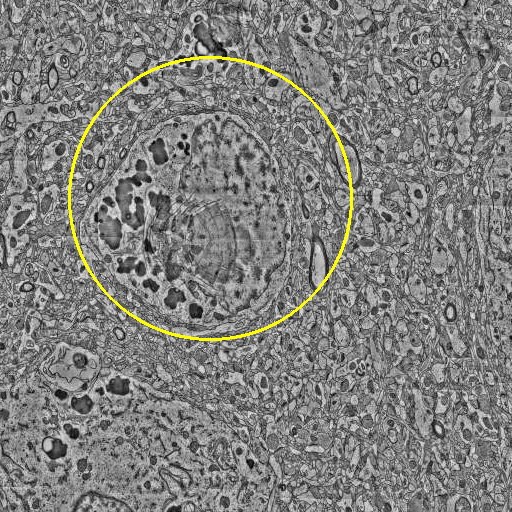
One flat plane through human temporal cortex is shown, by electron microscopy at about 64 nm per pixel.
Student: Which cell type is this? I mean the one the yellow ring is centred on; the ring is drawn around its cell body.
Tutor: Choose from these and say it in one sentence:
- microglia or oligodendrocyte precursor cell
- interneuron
The cell the ring is centred on is an interneuron.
